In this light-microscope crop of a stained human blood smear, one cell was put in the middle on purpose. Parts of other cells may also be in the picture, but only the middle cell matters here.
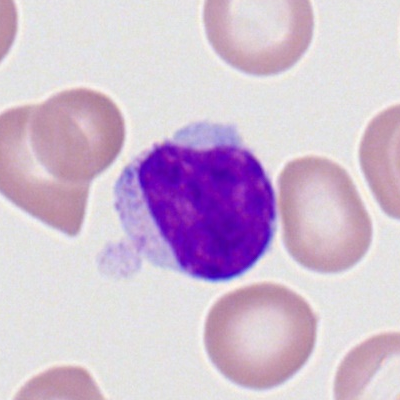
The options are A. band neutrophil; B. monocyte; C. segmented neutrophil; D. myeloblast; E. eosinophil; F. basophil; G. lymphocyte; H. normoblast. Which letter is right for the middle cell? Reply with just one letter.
G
